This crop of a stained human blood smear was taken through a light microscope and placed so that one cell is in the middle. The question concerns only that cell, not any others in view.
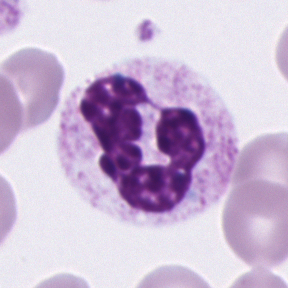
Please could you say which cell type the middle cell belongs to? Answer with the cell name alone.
segmented neutrophil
